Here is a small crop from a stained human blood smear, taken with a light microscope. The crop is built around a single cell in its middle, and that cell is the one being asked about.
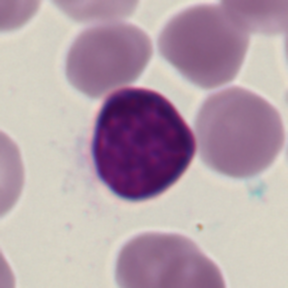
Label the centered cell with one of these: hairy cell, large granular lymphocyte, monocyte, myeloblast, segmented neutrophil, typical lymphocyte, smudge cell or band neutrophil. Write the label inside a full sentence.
In short, the cell at the center is a smudge cell.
